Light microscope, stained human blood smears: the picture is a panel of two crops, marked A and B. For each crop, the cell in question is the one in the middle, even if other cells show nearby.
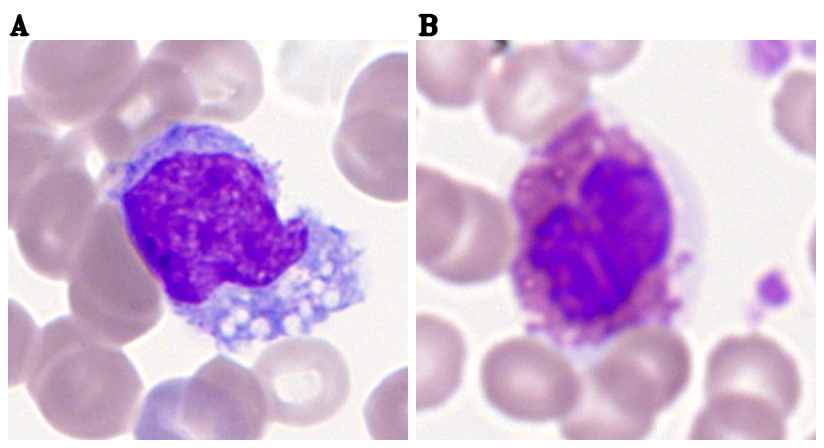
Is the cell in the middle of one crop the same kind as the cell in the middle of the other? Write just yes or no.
no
